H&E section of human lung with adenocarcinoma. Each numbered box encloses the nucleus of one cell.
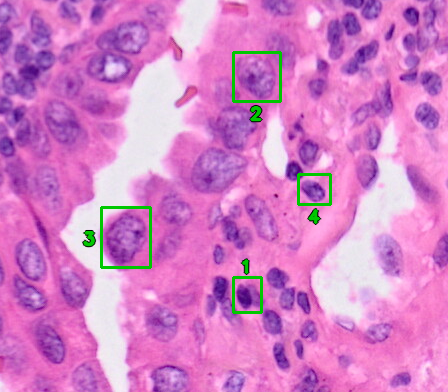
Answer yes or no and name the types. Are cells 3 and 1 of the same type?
No, cell 3 is a carcinoma cell and cell 1 is a lymphocyte.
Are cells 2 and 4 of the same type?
No, cell 2 is a carcinoma cell and cell 4 is a lymphocyte.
